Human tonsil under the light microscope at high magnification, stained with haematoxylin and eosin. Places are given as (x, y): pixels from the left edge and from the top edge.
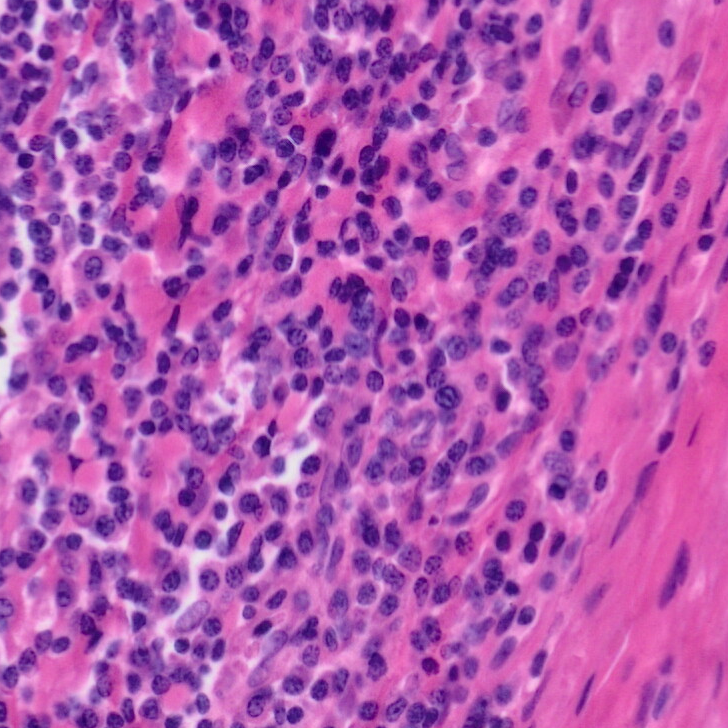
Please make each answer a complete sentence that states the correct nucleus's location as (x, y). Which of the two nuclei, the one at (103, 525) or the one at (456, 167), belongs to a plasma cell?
The nucleus situated at (103, 525) is the one belonging to a plasma cell.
